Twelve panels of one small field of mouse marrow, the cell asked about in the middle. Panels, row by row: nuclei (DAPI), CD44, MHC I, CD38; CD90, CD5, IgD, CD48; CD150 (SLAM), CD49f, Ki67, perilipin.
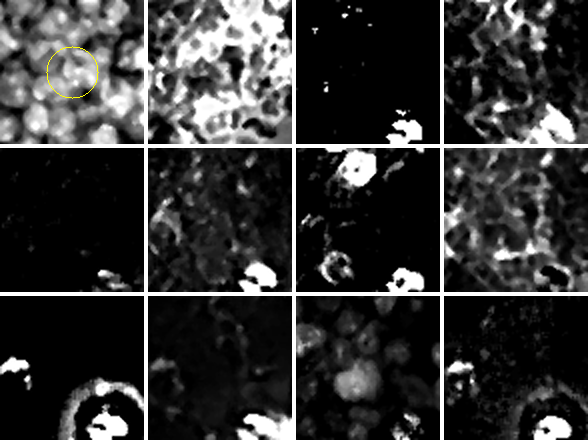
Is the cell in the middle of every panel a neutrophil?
No, it is a B cell.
